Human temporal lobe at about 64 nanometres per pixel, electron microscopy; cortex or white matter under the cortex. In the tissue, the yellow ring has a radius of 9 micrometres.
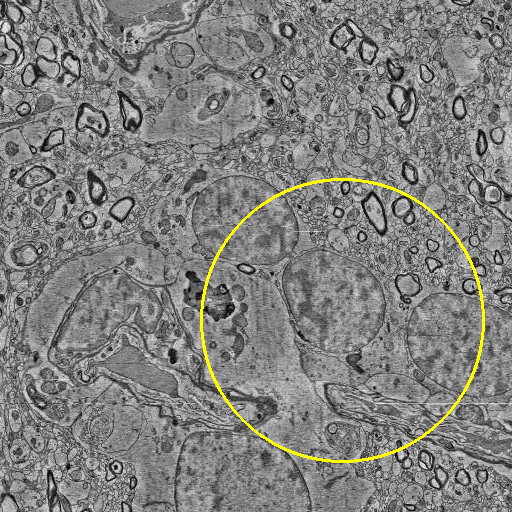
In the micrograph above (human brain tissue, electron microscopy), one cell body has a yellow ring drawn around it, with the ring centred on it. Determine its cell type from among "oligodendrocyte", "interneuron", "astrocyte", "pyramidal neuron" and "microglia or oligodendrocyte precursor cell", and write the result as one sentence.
The cell whose body is ringed is an oligodendrocyte.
